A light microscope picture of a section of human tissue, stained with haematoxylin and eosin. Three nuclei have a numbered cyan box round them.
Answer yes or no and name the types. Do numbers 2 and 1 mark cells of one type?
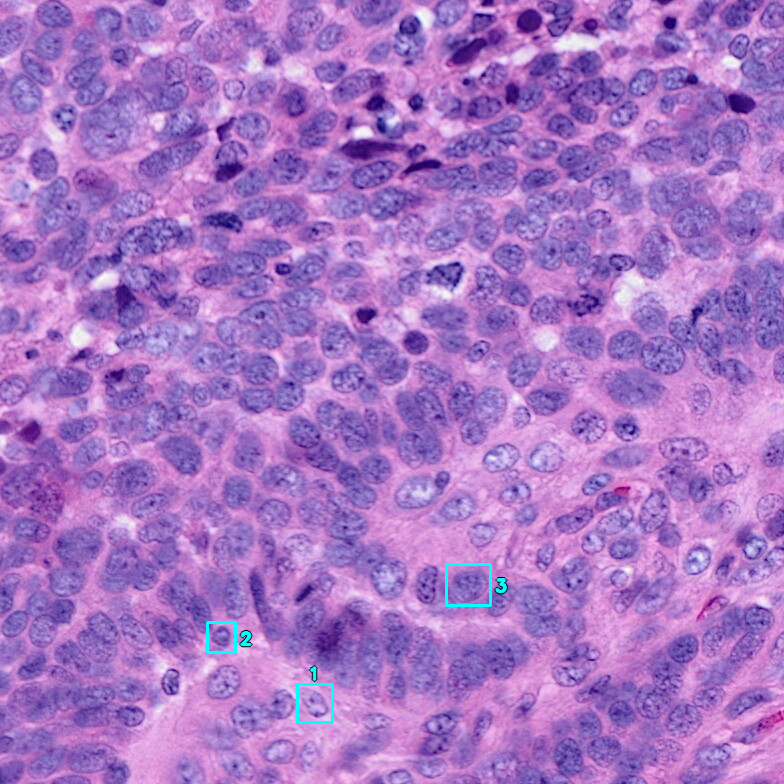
No, the identities are a macrophage or monocyte for cell 2 and a fibroblast for cell 1.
